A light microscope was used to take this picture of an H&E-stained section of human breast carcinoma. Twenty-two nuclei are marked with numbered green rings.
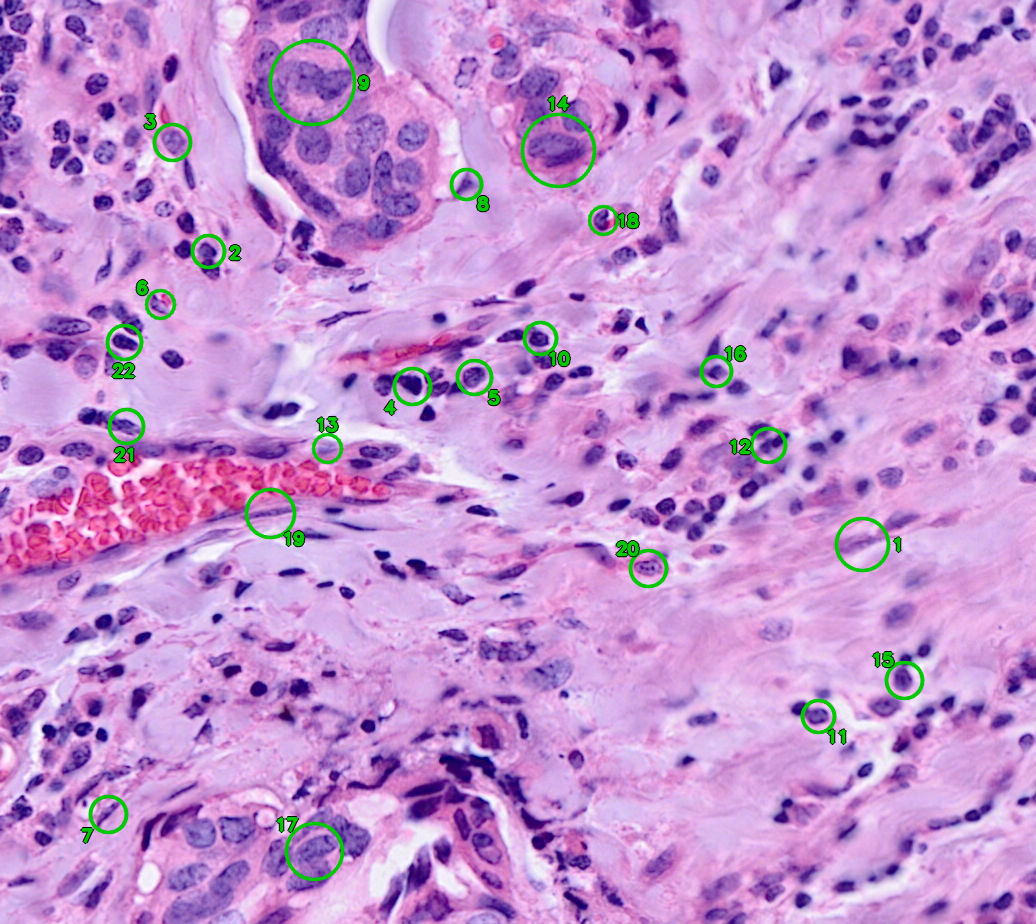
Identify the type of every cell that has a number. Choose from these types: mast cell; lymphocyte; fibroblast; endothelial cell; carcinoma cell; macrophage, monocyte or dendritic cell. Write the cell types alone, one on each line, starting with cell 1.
fibroblast
lymphocyte
endothelial cell
lymphocyte
lymphocyte
endothelial cell
fibroblast
fibroblast
carcinoma cell
lymphocyte
lymphocyte
lymphocyte
endothelial cell
carcinoma cell
lymphocyte
lymphocyte
carcinoma cell
endothelial cell
endothelial cell
mast cell
lymphocyte
lymphocyte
